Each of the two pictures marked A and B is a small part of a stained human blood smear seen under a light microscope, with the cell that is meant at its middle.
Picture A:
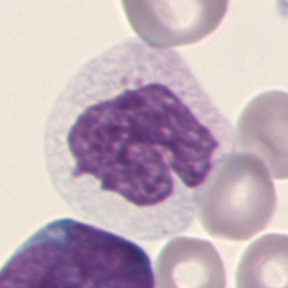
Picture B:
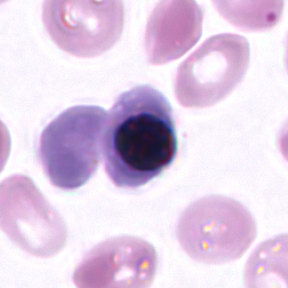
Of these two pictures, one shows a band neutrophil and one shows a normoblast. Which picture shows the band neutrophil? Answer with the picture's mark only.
A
